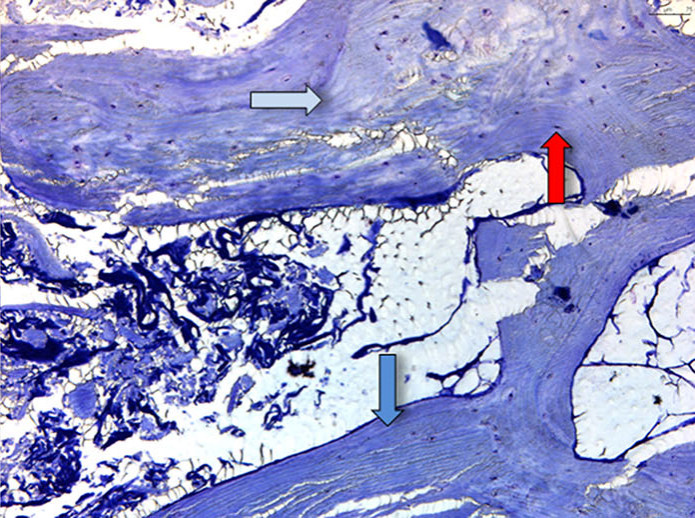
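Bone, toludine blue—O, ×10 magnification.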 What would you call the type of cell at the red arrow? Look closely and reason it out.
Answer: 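Osteocytes. Small dark dots sit singly within the pale lamellar matrix. The arrow points toward the matrix near the edge of a bony trabecula.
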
